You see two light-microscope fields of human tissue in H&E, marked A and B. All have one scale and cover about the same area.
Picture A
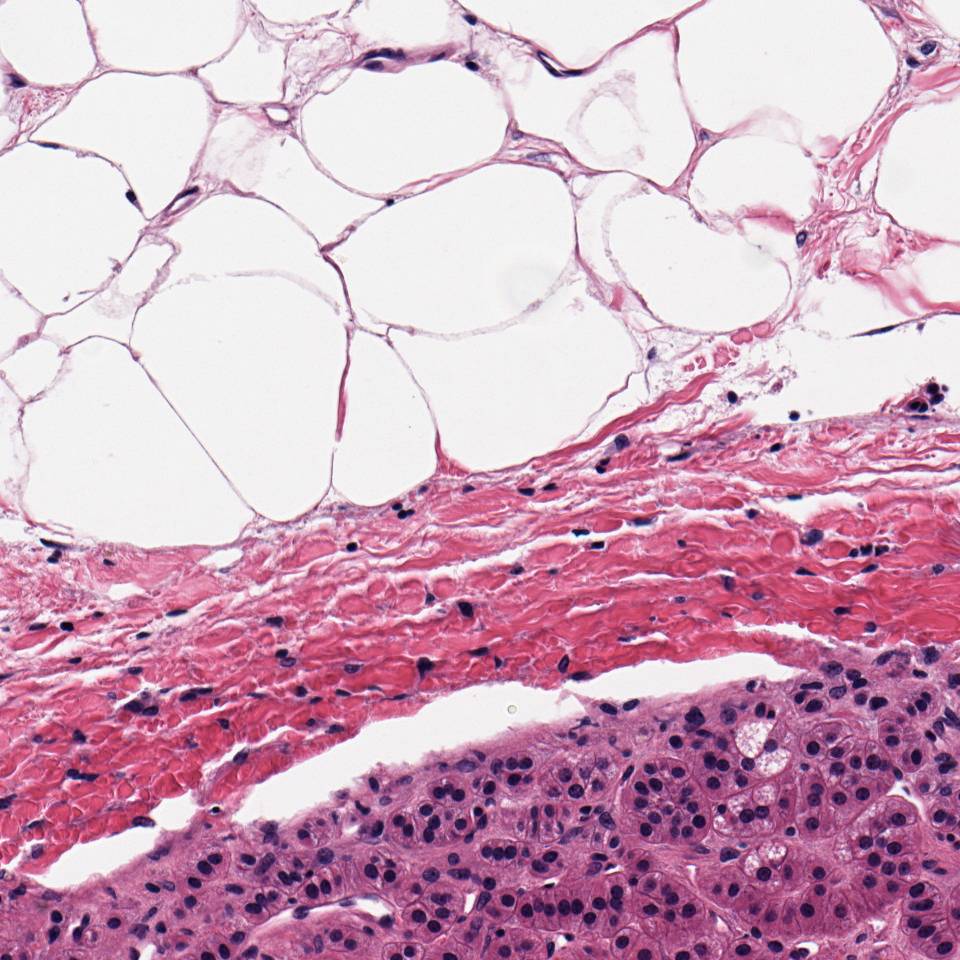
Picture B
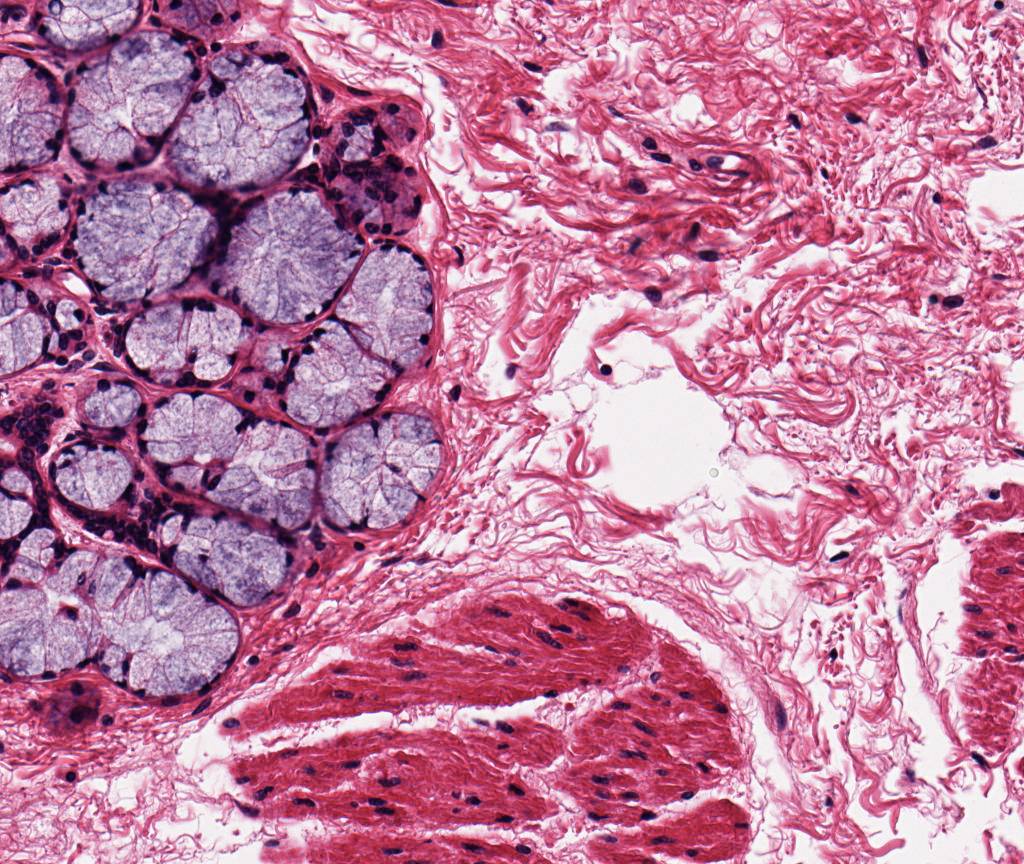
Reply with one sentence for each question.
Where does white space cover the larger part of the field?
It is picture A in which white space covers the larger part.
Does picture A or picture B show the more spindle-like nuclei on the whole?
Longer, more slender nuclei lie in picture B.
